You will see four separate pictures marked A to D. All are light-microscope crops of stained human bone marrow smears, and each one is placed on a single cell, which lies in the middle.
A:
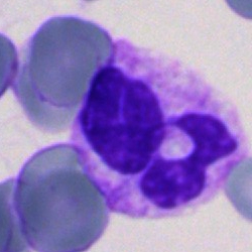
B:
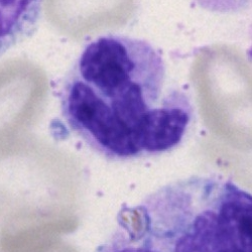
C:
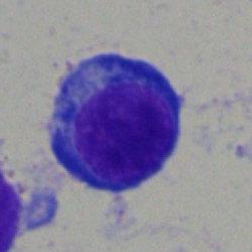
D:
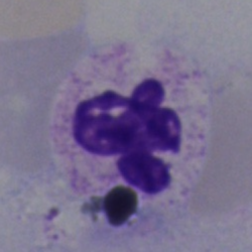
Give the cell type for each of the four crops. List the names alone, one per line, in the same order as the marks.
segmented neutrophil
segmented neutrophil
proerythroblast
segmented neutrophil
